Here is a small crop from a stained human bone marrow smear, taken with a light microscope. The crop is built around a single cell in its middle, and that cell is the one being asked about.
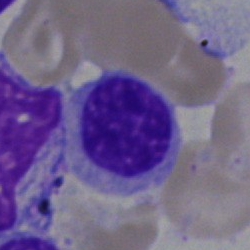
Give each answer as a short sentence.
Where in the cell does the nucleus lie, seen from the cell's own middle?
The nucleus is pushed toward the upper right of the cell.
